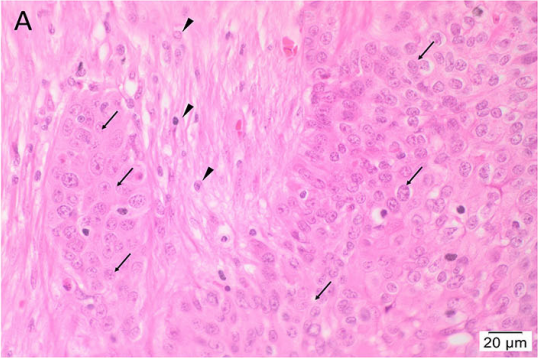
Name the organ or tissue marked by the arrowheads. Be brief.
Peritumoral stroma.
